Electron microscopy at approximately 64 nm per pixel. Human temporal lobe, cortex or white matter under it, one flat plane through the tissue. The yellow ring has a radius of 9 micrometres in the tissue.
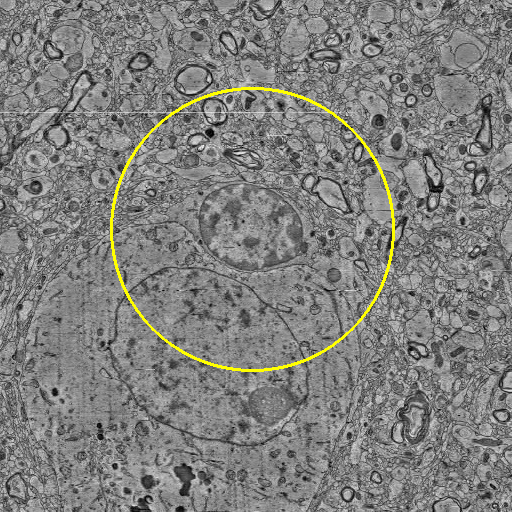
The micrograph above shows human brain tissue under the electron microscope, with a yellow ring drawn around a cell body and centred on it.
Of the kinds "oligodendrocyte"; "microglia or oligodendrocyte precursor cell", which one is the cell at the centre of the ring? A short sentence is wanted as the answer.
The one at the centre of the ring is an oligodendrocyte.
